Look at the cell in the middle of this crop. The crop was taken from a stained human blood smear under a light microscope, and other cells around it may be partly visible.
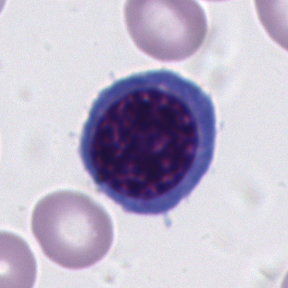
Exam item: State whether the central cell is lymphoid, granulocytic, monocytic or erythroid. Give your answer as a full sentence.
The cell held in the center of the crop belongs to the erythroid lineage.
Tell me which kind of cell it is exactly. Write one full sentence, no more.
Positioned in the middle of the crop is a normoblast.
